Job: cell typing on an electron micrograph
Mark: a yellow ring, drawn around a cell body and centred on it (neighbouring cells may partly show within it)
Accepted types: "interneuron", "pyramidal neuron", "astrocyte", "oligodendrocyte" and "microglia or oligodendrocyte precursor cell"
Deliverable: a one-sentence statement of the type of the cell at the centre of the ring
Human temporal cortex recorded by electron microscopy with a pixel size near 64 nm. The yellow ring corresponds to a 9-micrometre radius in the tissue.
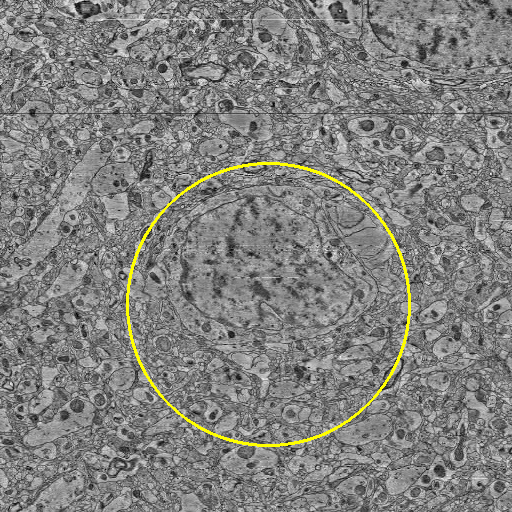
The centred cell body is that of an interneuron.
